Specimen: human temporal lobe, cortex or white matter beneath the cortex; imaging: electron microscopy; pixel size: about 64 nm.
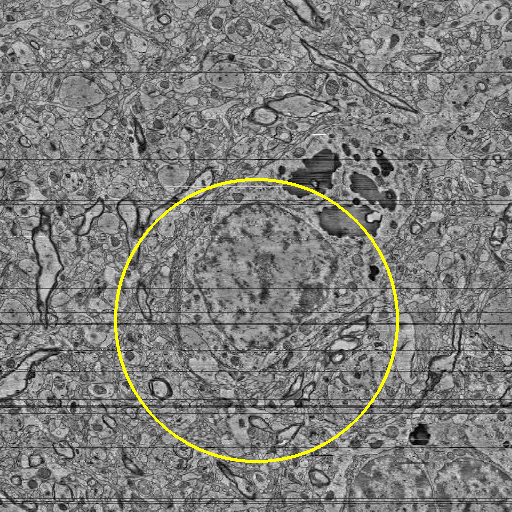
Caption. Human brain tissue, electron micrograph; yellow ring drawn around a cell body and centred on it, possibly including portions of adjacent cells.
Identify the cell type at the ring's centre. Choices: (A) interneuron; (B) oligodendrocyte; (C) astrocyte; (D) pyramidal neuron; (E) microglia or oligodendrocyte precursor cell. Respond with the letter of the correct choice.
A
